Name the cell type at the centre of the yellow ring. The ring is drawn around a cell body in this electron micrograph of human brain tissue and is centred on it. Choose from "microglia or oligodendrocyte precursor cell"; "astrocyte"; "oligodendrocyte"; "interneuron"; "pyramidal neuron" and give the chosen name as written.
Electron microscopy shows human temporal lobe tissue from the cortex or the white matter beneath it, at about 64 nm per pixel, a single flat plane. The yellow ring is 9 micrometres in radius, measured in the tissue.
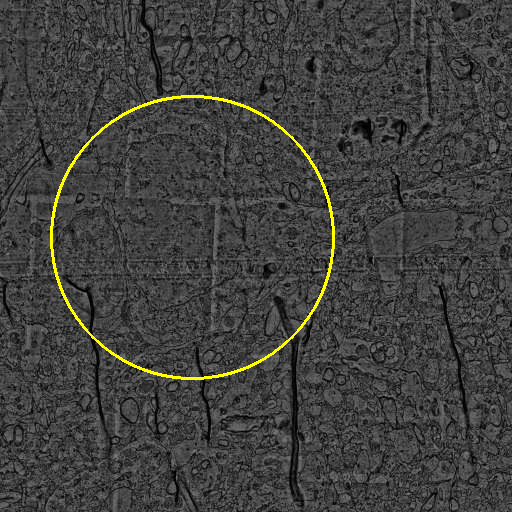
pyramidal neuron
